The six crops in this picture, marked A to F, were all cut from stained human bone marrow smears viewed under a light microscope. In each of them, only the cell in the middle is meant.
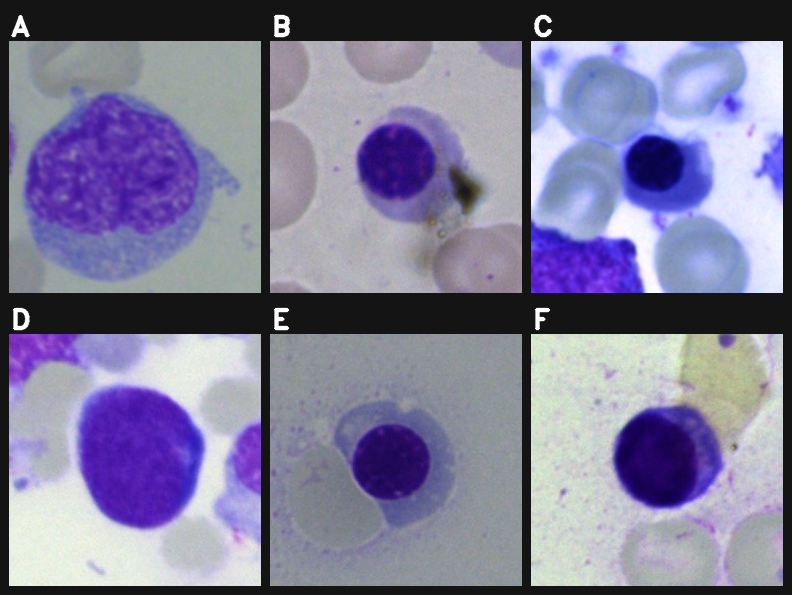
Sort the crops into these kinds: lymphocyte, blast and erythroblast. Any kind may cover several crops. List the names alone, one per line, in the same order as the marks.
blast
erythroblast
erythroblast
blast
erythroblast
lymphocyte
